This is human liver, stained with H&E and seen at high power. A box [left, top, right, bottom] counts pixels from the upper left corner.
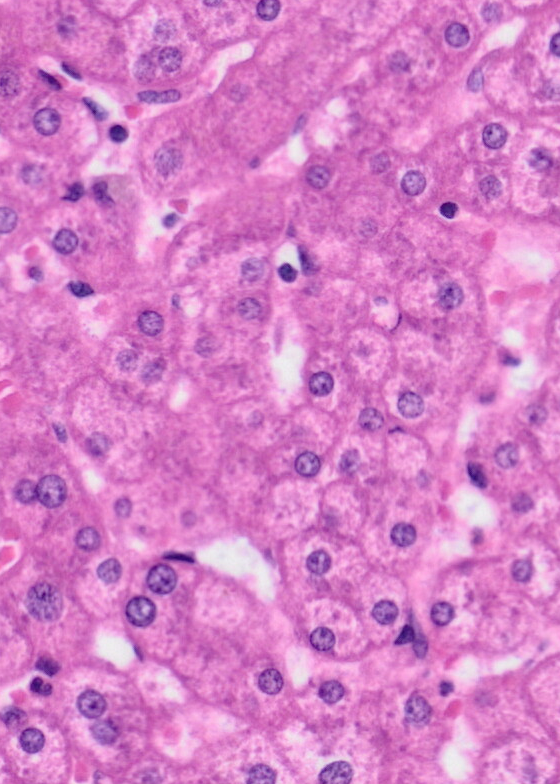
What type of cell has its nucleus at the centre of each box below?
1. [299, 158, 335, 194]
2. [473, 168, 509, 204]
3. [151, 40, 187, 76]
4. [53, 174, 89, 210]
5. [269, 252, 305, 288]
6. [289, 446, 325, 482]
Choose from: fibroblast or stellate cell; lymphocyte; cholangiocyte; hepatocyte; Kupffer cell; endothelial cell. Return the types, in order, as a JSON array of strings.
["hepatocyte", "hepatocyte", "hepatocyte", "fibroblast or stellate cell", "lymphocyte", "hepatocyte"]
